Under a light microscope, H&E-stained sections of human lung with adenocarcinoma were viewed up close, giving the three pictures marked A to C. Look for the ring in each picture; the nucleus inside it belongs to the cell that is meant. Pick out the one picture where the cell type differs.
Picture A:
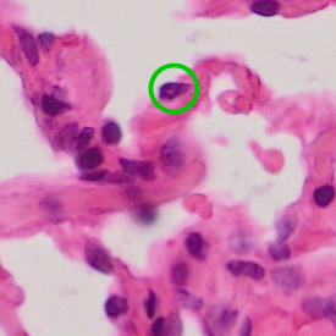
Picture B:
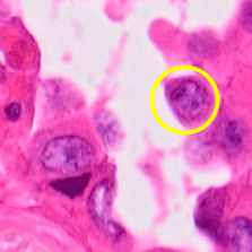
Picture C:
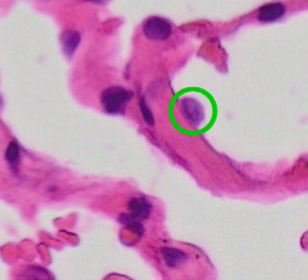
B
